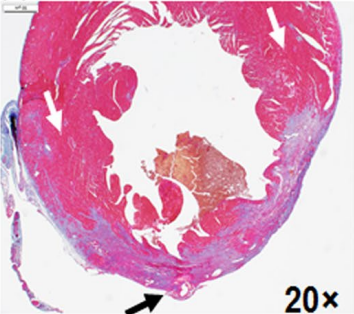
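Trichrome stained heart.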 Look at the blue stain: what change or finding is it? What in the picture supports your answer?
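Infarct. A band of the ventricular wall is stained blue instead of red. The blue area is thin compared with the red-stained wall elsewhere.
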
